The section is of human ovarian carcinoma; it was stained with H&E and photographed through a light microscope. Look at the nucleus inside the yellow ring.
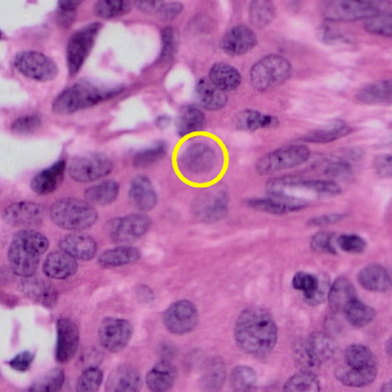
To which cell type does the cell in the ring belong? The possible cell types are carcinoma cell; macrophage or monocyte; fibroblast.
carcinoma cell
